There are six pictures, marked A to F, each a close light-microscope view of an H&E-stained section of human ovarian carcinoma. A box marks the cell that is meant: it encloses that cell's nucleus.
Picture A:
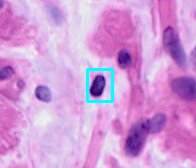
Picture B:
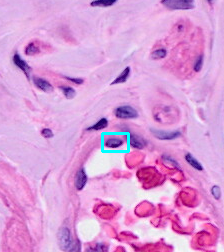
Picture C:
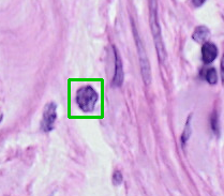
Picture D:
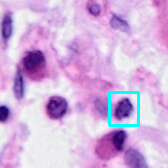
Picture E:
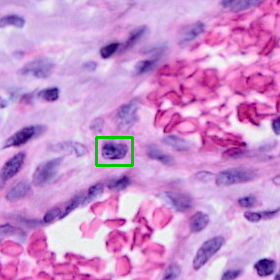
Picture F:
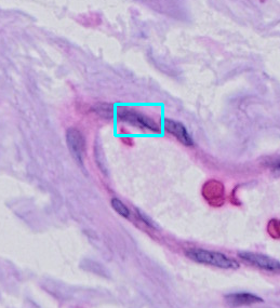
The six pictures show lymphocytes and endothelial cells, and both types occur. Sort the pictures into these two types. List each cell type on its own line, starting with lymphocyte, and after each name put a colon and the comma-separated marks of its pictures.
lymphocyte: A, C, D, E
endothelial cell: B, F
